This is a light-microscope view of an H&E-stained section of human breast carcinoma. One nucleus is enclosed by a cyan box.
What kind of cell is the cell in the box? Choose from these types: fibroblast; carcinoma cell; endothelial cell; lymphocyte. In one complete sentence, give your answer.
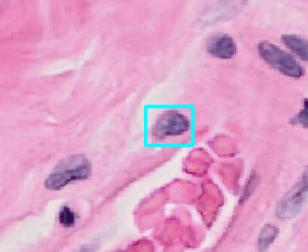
In this tissue sample, the cell in the box is an endothelial cell.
